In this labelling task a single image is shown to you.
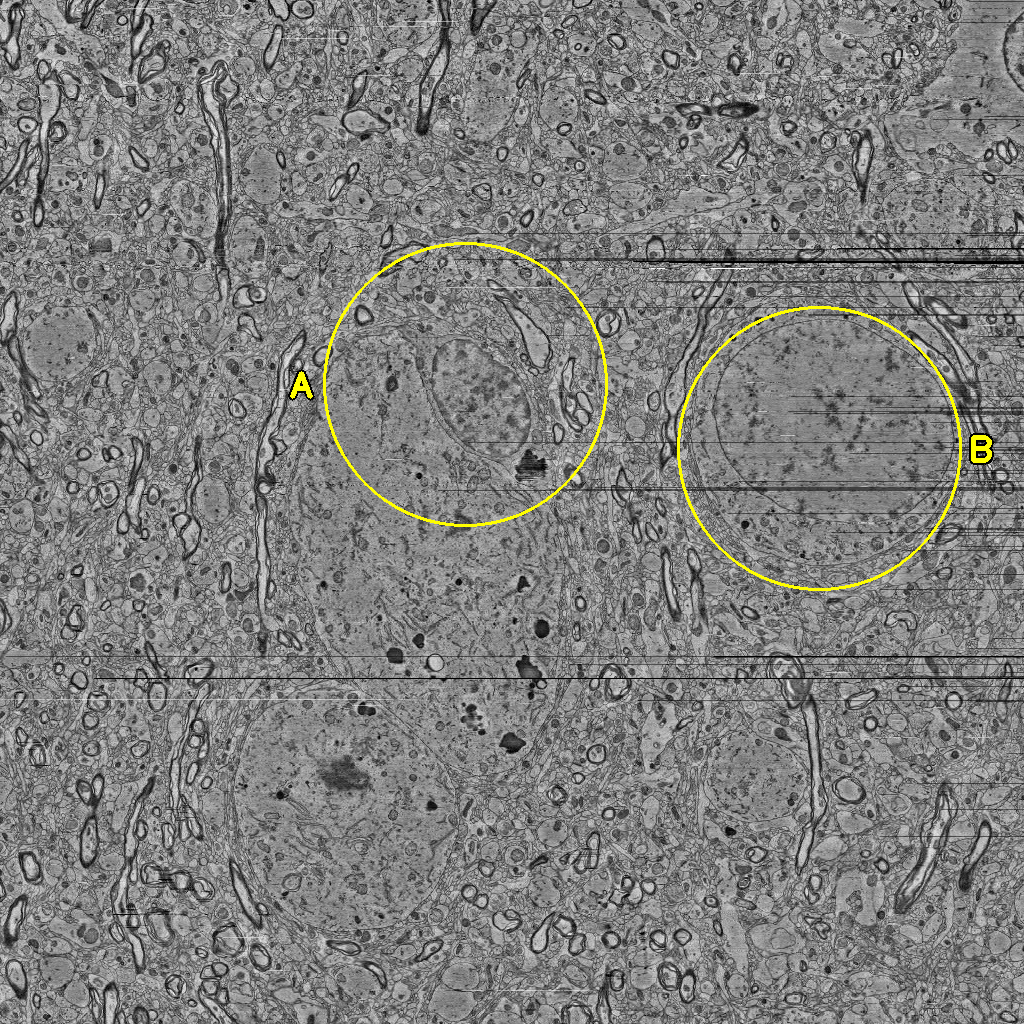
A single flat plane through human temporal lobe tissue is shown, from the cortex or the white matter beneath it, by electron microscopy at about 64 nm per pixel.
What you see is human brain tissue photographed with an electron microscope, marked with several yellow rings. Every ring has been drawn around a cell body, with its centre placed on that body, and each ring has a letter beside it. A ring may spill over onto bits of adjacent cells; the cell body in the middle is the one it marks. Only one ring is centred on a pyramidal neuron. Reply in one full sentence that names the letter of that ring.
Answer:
The ring centred on the cell asked for is the one marked B.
